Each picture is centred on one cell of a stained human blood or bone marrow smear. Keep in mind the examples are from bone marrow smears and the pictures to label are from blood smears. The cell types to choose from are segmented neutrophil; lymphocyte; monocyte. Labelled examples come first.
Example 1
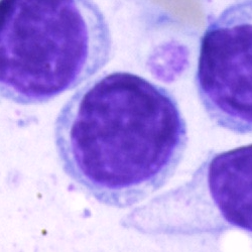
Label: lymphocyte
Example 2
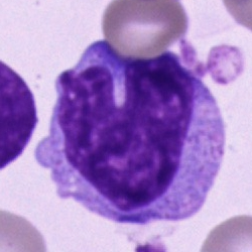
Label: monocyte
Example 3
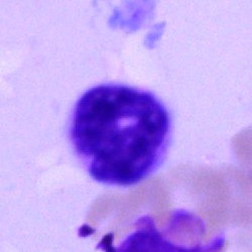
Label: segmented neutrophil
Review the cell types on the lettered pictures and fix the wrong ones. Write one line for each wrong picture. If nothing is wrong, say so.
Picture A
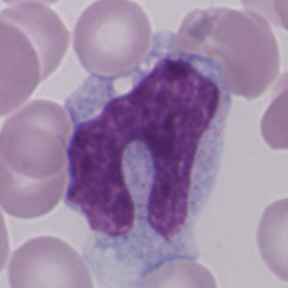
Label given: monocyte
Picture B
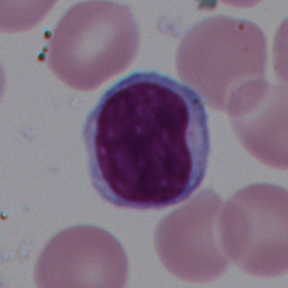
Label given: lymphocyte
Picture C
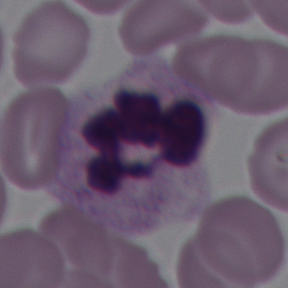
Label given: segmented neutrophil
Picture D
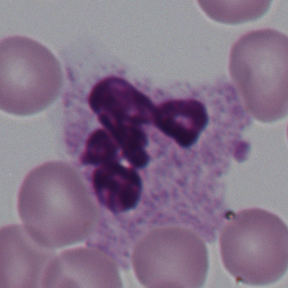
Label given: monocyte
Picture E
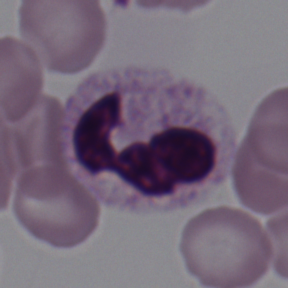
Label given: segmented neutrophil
D: change monocyte to segmented neutrophil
